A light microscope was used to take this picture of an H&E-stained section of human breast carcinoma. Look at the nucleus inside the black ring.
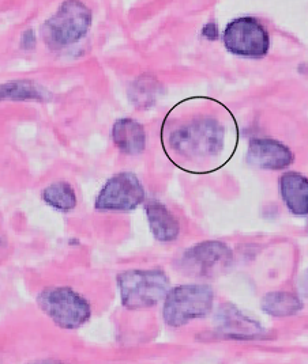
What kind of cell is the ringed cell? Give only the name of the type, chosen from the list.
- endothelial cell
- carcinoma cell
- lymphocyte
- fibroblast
carcinoma cell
